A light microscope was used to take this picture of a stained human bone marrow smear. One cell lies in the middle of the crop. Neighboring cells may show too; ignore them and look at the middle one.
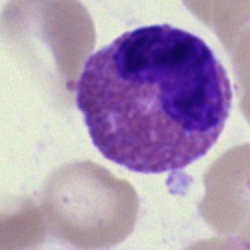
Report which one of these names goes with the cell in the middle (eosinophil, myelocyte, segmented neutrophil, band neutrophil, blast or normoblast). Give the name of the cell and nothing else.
eosinophil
